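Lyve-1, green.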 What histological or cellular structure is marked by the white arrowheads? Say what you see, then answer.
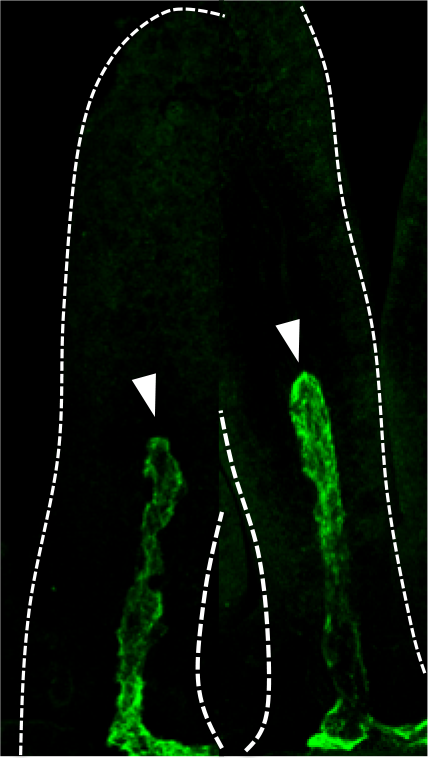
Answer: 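Green vessels inside outlined projections end in rounded tips. No thin extensions beyond the tips. So: blunt-ended lacteals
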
